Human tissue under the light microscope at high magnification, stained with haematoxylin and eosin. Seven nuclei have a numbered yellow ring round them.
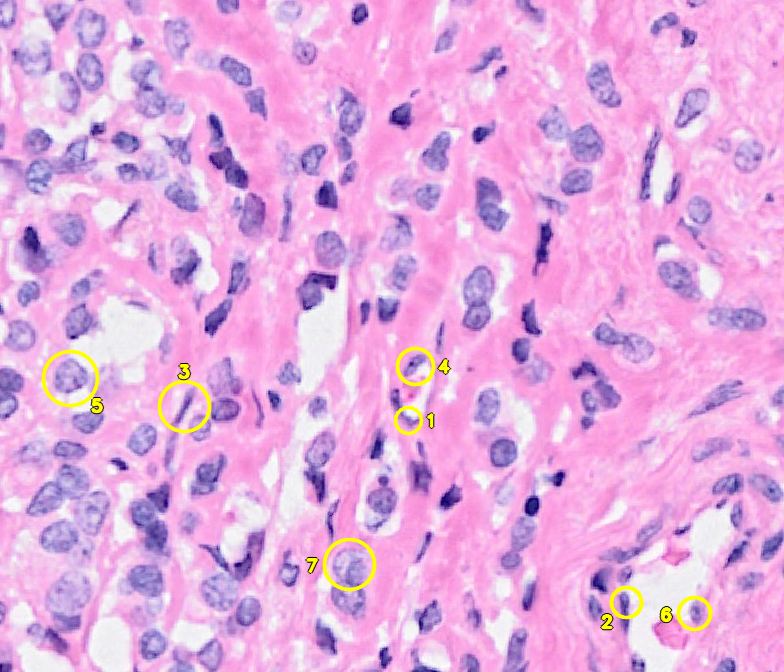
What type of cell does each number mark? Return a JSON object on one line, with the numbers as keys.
{"1": "endothelial cell", "2": "endothelial cell", "3": "fibroblast", "4": "endothelial cell", "5": "carcinoma cell", "6": "endothelial cell", "7": "carcinoma cell"}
